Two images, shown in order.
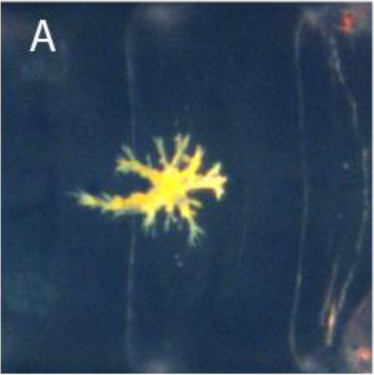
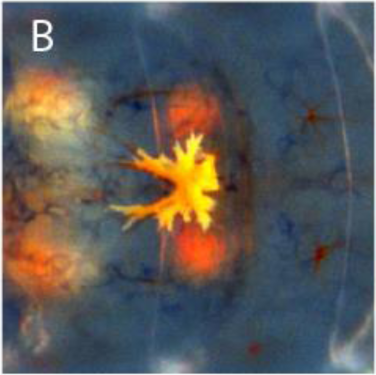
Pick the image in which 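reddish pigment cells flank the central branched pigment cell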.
The second image.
